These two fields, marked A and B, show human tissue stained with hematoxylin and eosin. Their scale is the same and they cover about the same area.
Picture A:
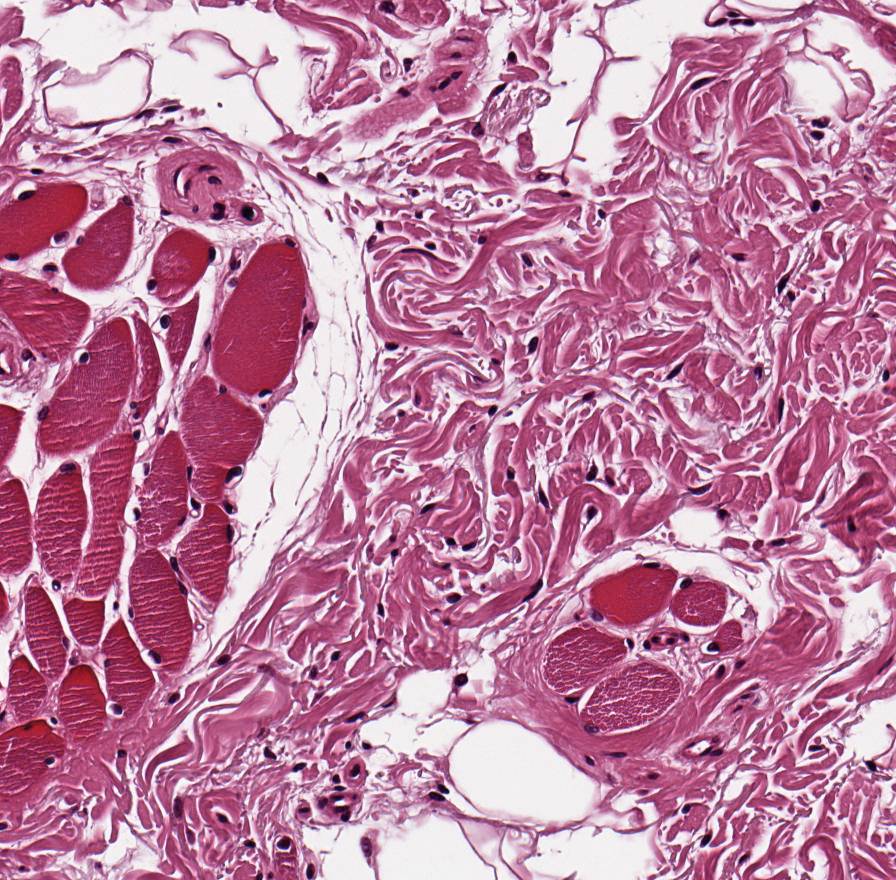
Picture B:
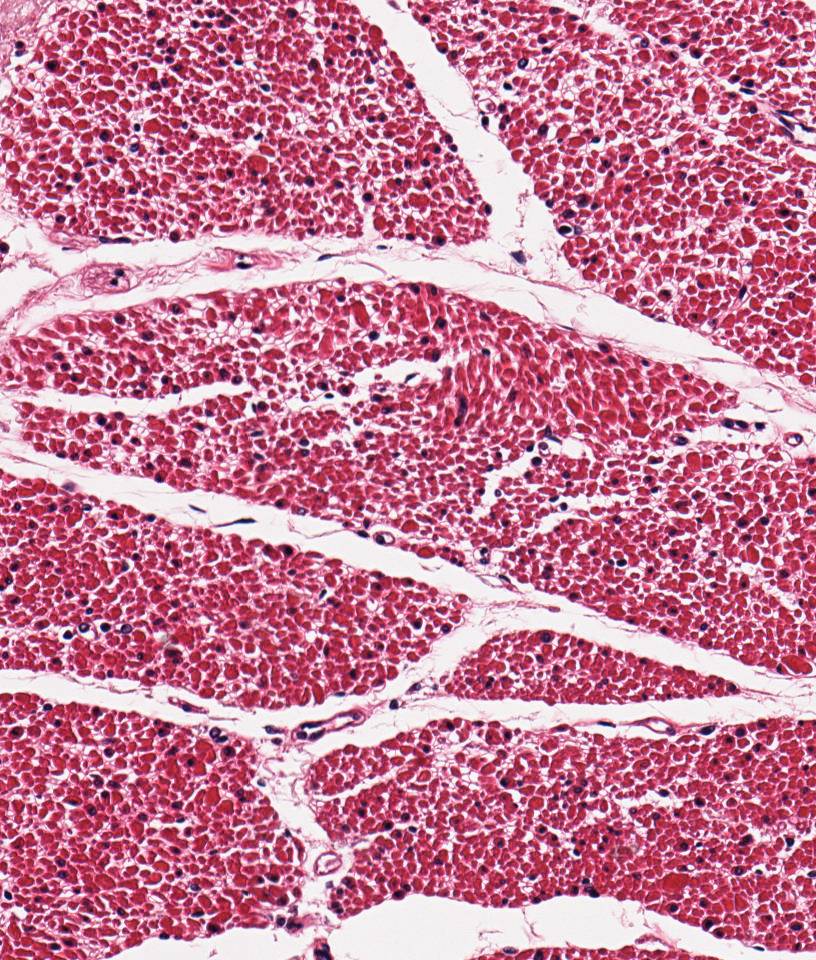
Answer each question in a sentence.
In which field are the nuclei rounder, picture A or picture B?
On the whole the nuclei of picture B are rounder than those of picture A.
